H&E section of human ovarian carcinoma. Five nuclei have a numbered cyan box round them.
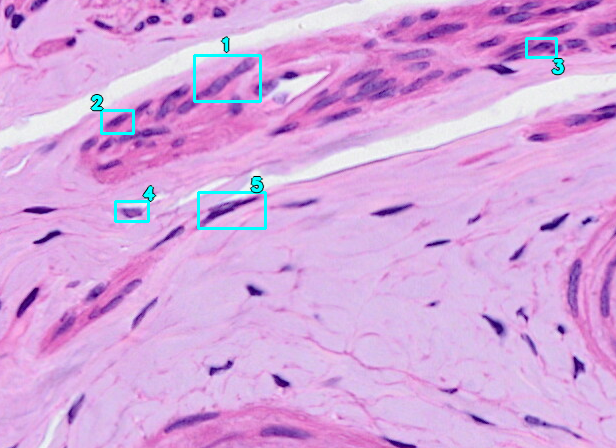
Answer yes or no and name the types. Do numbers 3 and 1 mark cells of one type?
Yes, cells 3 and 1 are both classed as smooth muscle cells.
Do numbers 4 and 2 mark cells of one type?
No, the cell tagged 4 is a fibroblast, whereas the cell tagged 2 is a smooth muscle cell.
